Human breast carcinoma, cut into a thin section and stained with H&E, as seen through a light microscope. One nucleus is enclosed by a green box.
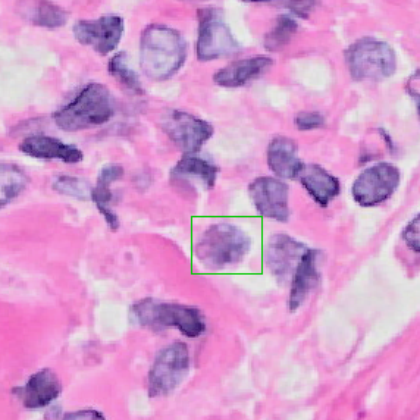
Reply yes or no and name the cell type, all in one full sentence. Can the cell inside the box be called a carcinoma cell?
Yes, correct on this one: the cell inside the box is a carcinoma cell.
